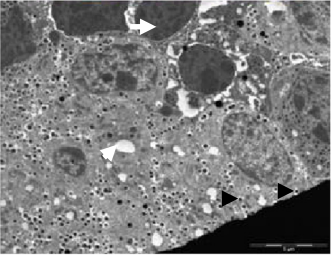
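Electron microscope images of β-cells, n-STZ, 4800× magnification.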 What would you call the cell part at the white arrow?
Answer: nucleus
